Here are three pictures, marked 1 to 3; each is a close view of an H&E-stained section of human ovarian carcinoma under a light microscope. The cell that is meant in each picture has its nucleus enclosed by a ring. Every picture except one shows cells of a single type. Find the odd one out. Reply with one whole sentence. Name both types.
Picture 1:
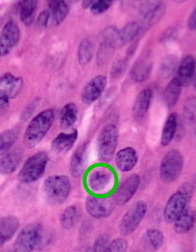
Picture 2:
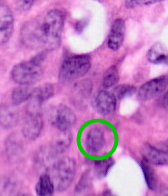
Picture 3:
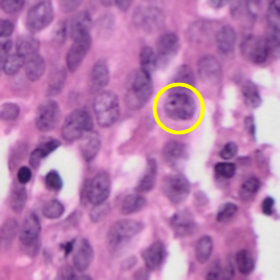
Picture 2 differs, because its cell is a carcinoma cell and the rest are “macrophages or monocytes”.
